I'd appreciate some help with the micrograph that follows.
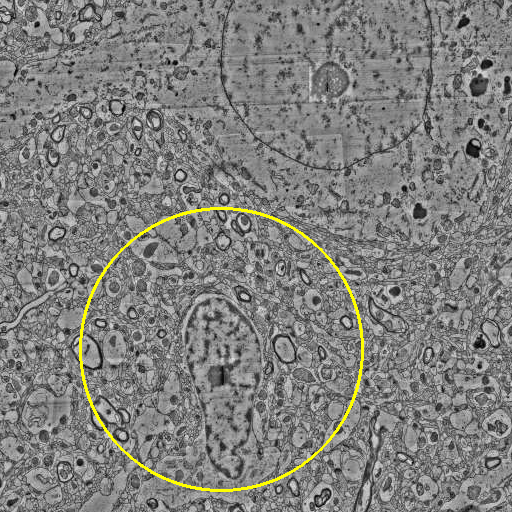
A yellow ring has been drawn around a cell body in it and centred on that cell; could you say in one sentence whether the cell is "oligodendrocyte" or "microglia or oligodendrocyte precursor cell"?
It is a microglial cell or oligodendrocyte precursor cell at the centre of the ring.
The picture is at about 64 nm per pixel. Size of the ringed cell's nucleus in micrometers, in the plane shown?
In this plane, about 10 micrometres in length and 5 in width.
